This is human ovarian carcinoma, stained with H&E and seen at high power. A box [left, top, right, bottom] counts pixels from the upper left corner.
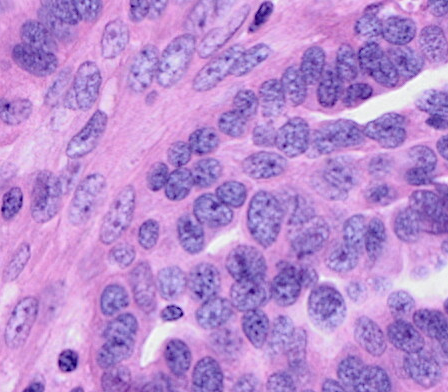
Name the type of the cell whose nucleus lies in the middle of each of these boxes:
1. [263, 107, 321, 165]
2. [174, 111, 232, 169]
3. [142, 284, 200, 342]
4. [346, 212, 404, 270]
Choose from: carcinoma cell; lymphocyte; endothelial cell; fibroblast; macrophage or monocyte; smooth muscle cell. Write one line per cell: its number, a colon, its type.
1: carcinoma cell
2: carcinoma cell
3: lymphocyte
4: carcinoma cell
